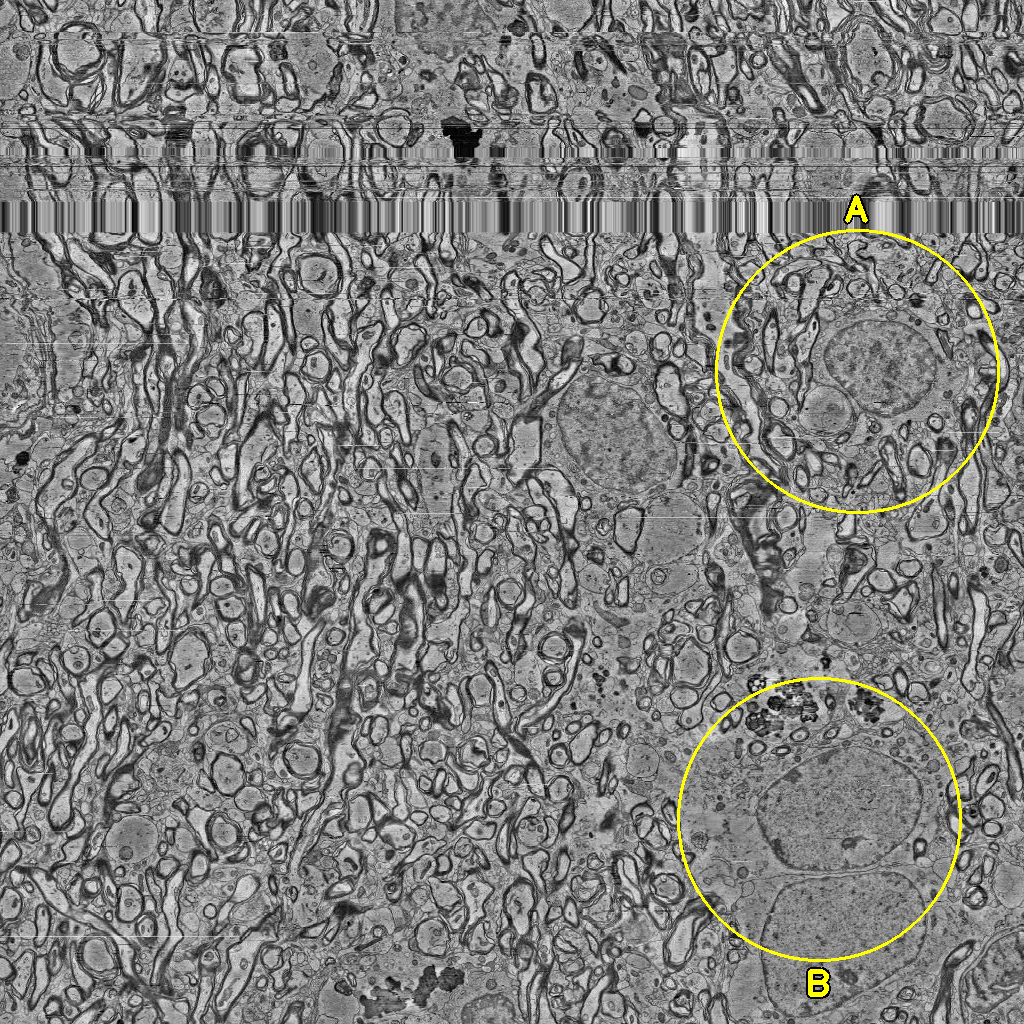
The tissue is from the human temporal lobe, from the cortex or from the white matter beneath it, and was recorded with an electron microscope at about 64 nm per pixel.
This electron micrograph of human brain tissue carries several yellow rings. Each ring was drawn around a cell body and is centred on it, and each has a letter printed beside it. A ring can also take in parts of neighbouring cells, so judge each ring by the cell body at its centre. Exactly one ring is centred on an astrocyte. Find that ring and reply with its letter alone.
B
